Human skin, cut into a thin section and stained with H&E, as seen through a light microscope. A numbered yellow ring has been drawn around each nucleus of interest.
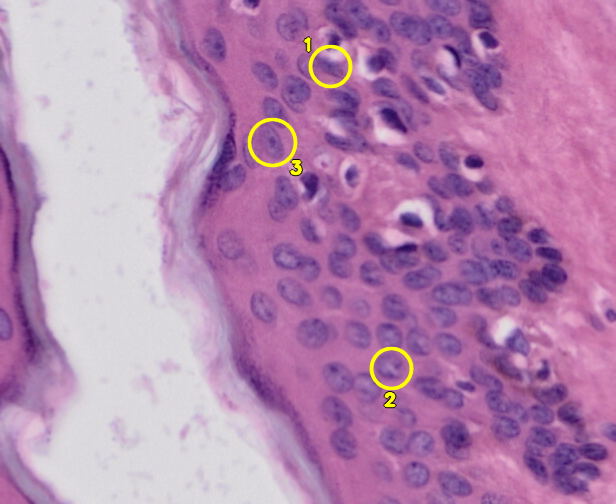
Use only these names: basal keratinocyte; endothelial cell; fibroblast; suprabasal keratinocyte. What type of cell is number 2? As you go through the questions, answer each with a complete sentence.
The cell pointed out as number 2 is a suprabasal keratinocyte.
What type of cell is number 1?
The correct label for cell 1 is a basal keratinocyte.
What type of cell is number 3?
The one labeled 3 is a suprabasal keratinocyte, to put it simply.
